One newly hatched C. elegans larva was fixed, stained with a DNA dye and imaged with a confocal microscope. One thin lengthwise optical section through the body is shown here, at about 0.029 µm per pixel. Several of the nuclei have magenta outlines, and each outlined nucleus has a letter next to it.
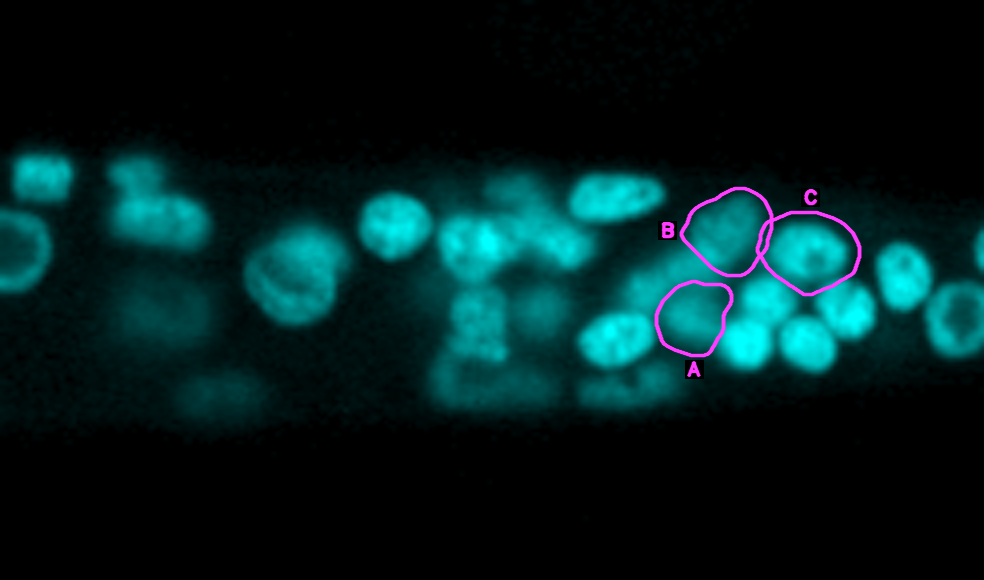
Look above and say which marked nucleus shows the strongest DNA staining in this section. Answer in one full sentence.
C is the most strongly stained.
